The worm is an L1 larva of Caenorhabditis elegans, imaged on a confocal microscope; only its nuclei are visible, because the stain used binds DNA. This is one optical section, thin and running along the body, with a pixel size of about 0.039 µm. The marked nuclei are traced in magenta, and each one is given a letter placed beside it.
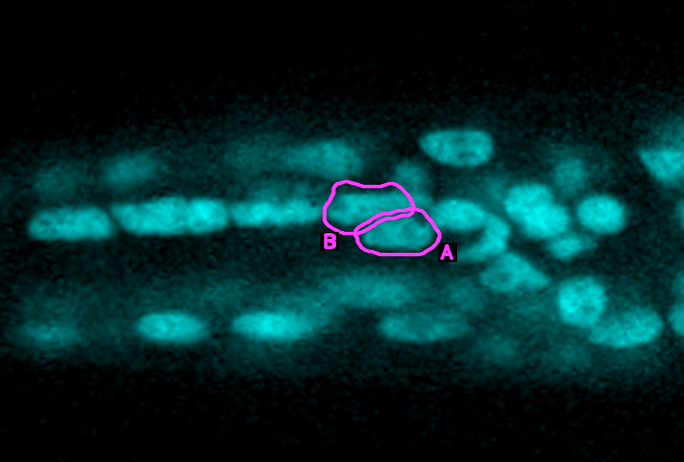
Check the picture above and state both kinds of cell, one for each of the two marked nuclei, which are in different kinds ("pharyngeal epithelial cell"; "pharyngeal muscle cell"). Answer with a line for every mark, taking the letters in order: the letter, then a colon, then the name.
A: pharyngeal muscle cell
B: pharyngeal epithelial cell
